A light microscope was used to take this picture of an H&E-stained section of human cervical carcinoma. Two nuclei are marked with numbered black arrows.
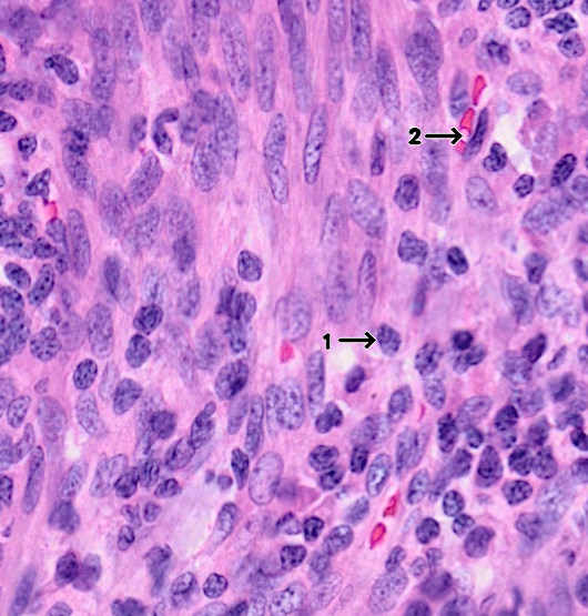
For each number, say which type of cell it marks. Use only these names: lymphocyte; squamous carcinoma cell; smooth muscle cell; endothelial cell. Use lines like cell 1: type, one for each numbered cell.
cell 1: lymphocyte
cell 2: endothelial cell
